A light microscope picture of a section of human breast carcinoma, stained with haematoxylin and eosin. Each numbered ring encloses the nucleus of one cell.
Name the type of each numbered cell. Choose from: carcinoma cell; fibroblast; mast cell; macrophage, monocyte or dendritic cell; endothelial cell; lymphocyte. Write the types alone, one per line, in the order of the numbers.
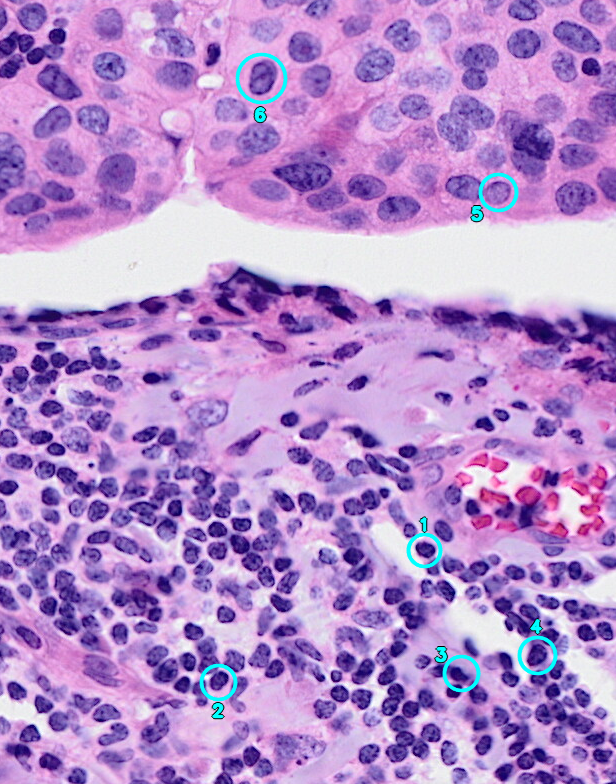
lymphocyte
lymphocyte
lymphocyte
lymphocyte
carcinoma cell
carcinoma cell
